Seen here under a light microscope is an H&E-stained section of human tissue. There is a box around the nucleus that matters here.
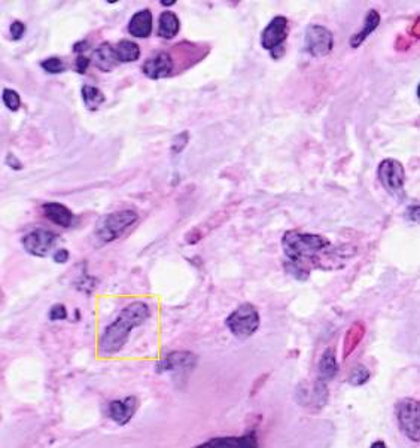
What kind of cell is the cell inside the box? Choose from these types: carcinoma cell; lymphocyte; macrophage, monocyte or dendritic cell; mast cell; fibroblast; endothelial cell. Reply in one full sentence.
The cell inside the box is a macrophage, monocyte or dendritic cell.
